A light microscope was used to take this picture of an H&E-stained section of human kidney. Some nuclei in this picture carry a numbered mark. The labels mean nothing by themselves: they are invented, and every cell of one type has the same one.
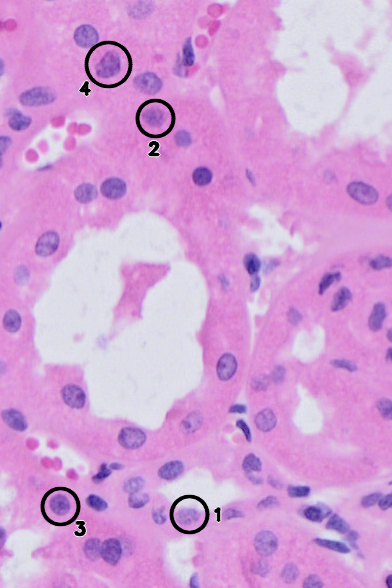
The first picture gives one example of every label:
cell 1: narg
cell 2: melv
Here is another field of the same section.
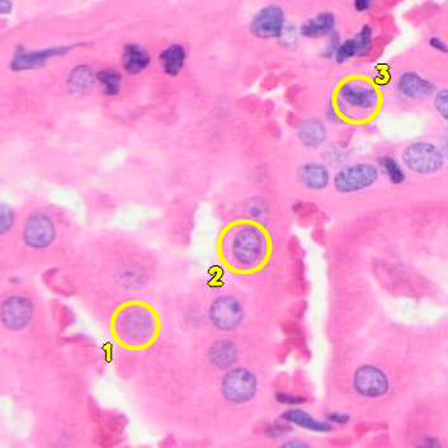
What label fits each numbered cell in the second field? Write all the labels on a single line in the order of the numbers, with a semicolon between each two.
melv; melv; narg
